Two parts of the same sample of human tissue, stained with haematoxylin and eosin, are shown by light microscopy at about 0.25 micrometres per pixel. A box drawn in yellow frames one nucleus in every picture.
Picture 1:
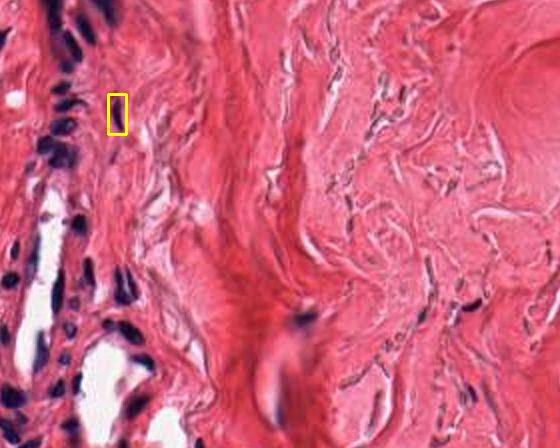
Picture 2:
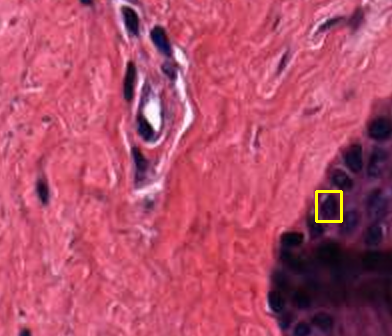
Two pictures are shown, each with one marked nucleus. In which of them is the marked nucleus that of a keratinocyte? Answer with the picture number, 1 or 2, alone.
2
